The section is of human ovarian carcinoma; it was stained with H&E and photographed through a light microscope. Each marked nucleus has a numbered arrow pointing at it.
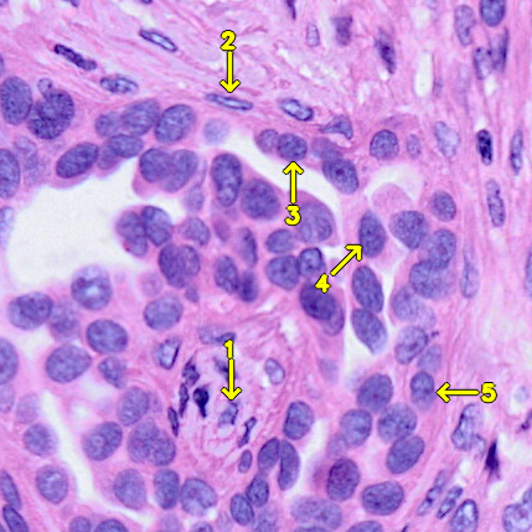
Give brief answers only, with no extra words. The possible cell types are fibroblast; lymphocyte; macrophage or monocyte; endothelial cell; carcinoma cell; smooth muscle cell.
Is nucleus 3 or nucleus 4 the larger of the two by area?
4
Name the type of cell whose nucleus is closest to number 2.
carcinoma cell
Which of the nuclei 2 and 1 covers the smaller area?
1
